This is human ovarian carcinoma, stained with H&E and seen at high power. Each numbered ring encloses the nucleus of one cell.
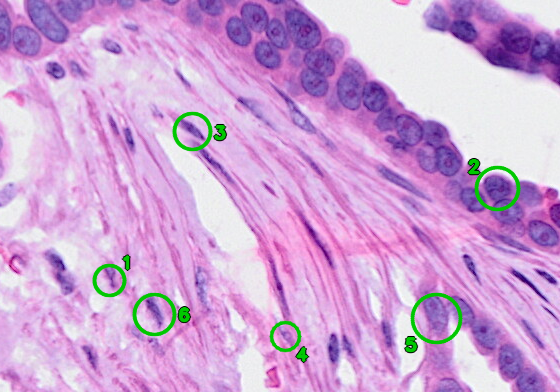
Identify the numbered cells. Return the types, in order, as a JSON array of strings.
["fibroblast", "carcinoma cell", "fibroblast", "fibroblast", "carcinoma cell", "fibroblast"]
